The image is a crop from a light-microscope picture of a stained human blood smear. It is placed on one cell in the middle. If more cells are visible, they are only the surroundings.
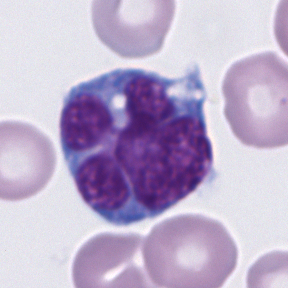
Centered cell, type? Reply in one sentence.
The cell centered in this field of view is a monocyte.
